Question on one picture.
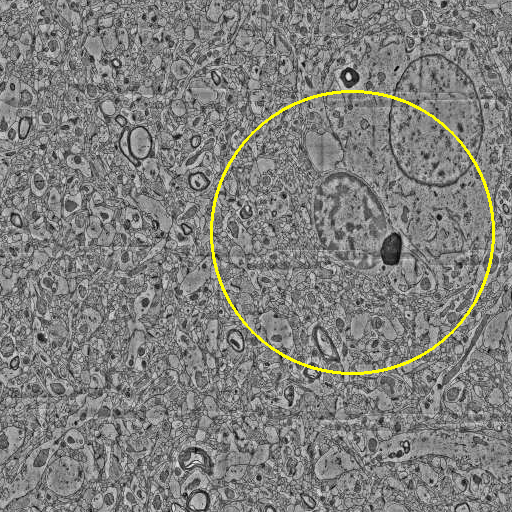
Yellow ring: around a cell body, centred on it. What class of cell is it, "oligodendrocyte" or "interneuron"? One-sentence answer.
This is an oligodendrocyte, the cell the ring is centred on.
